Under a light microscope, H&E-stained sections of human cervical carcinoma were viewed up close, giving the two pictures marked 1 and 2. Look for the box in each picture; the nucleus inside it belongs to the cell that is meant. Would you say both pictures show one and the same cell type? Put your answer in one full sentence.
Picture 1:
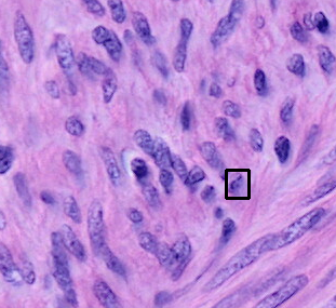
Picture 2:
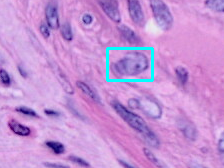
Yes, they are the same type: both are smooth muscle cells.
